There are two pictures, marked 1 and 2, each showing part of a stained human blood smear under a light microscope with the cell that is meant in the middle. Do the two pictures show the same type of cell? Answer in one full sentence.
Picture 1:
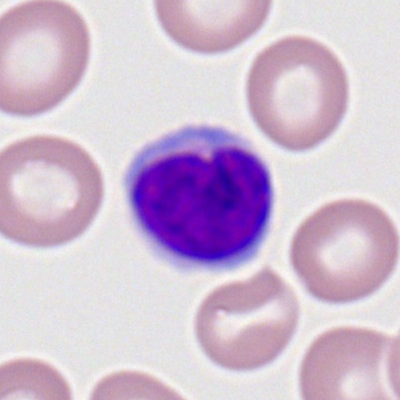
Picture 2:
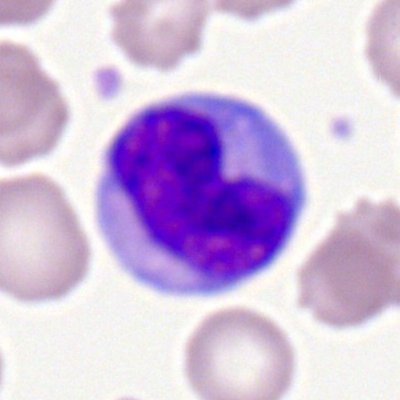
No, the types are not the same, since picture 1 shows a lymphocyte and picture 2 a monocyte.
